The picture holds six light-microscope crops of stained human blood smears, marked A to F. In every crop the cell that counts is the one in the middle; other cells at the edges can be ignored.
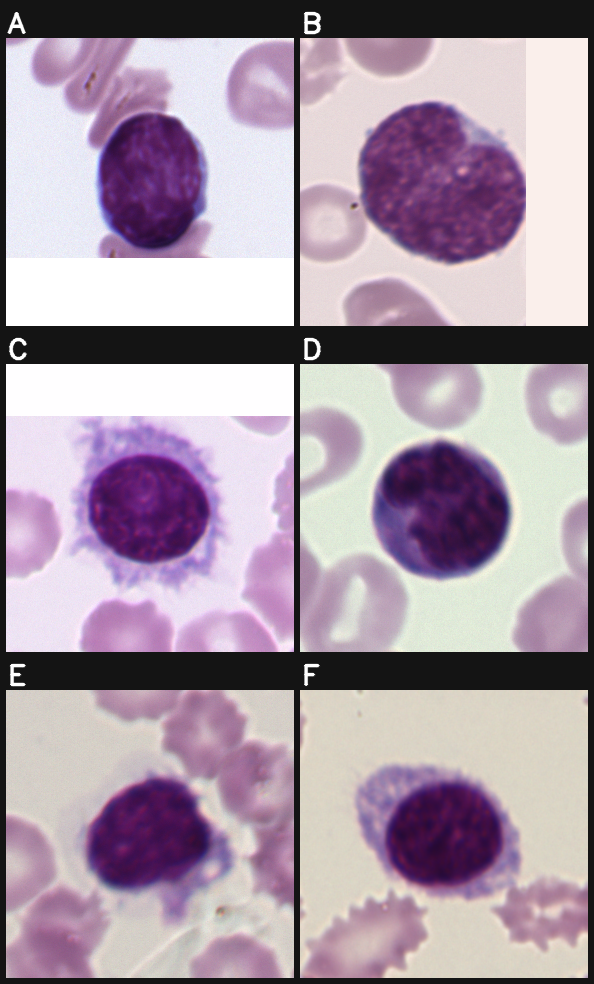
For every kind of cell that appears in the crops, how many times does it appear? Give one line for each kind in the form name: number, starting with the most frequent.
hairy cell: 3
myeloblast: 2
monocyte: 1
